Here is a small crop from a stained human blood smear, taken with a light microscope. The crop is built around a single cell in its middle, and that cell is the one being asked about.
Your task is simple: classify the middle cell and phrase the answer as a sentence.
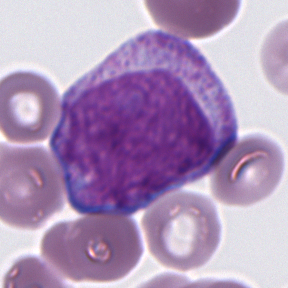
Among the cells in view, the one in the middle is an atypical promyelocyte.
